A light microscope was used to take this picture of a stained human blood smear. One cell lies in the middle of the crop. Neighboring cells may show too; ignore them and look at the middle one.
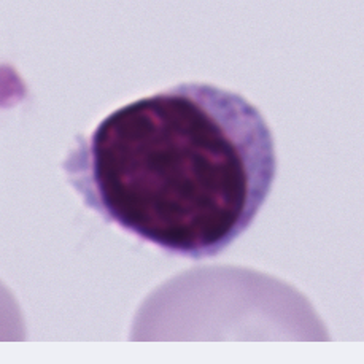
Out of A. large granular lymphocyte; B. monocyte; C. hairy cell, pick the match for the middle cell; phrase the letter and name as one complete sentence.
That cell in the center is a large granular lymphocyte, hence option A.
